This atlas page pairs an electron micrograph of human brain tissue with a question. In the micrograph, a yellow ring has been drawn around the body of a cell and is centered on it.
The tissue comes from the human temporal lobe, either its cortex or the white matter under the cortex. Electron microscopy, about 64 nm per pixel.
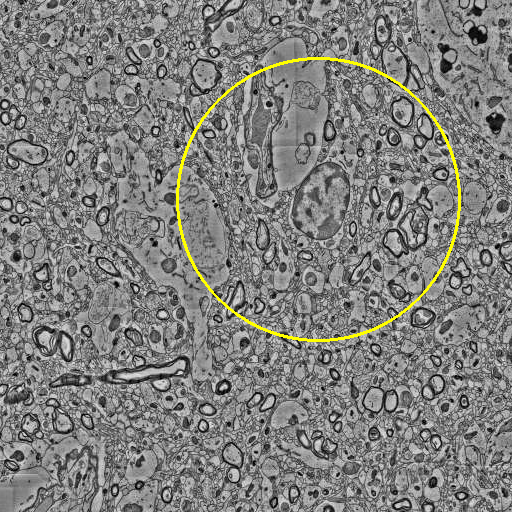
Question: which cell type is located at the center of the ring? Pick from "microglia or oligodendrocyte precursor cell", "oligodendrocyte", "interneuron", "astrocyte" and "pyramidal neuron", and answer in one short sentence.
Located at the center of the ring is a microglial cell or oligodendrocyte precursor cell.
